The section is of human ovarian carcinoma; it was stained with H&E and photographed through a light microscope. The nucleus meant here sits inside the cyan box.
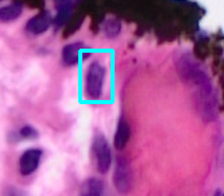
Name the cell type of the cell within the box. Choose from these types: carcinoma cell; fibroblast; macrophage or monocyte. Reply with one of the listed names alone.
macrophage or monocyte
